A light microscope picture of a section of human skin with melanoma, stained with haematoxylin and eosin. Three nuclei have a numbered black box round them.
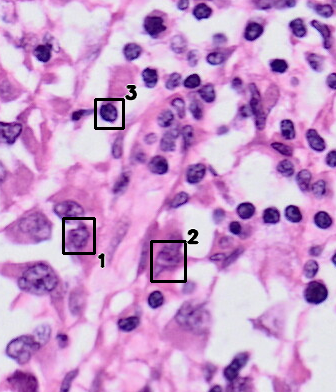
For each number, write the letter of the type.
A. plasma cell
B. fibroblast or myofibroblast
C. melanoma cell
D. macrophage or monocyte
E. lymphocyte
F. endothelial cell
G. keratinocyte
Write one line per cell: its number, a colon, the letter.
1: C
2: C
3: E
